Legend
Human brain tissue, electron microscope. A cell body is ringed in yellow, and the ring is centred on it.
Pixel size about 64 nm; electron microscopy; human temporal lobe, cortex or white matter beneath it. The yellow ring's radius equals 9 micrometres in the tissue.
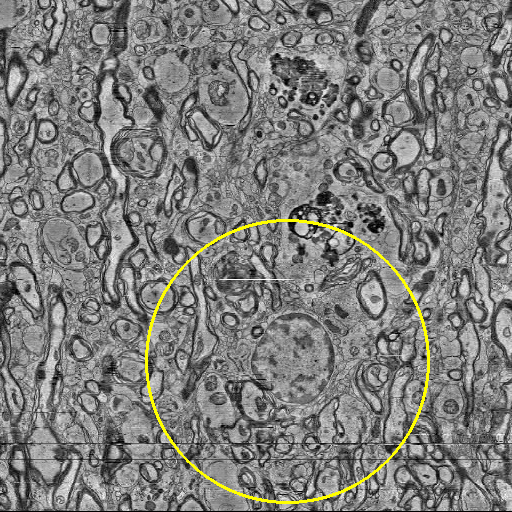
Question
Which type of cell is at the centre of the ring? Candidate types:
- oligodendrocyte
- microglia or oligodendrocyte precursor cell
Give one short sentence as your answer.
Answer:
The yellow ring is centred here on a microglial cell or oligodendrocyte precursor cell.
